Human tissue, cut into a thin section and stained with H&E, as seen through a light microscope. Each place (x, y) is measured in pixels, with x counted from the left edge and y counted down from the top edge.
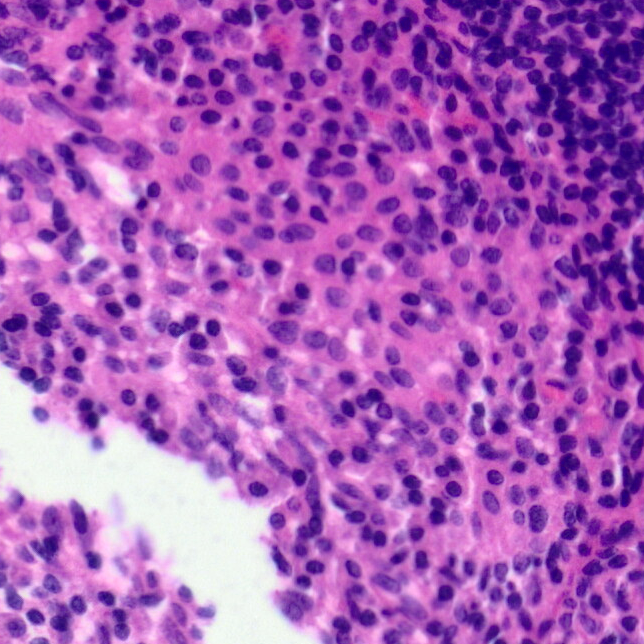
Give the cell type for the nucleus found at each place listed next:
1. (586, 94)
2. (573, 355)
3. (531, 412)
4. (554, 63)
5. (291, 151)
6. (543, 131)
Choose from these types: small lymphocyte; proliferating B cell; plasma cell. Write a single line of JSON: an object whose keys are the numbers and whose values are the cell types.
{"1": "small lymphocyte", "2": "plasma cell", "3": "plasma cell", "4": "small lymphocyte", "5": "plasma cell", "6": "plasma cell"}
